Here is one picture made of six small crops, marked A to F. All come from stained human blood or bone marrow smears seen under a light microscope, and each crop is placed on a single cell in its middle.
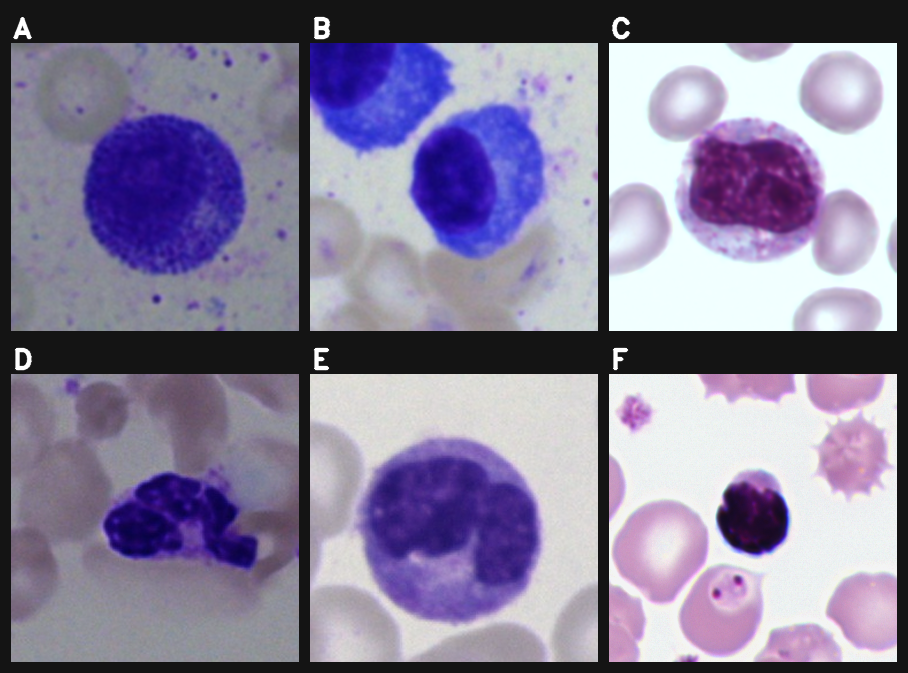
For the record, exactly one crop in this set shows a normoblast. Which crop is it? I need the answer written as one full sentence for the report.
Among the crops, only crop F contains a normoblast.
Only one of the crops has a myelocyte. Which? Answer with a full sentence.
Within this set, crop A is the one with a myelocyte at its center.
